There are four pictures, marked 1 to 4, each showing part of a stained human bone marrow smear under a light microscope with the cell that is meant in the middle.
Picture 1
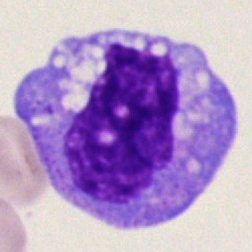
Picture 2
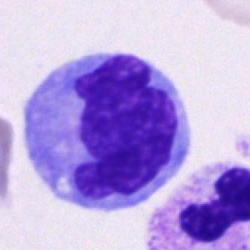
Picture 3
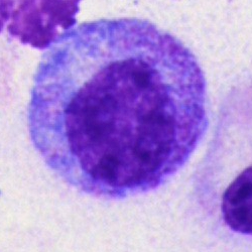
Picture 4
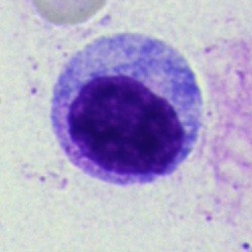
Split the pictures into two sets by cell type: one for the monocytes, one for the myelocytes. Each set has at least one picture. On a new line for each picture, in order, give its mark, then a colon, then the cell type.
1: monocyte
2: monocyte
3: myelocyte
4: myelocyte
